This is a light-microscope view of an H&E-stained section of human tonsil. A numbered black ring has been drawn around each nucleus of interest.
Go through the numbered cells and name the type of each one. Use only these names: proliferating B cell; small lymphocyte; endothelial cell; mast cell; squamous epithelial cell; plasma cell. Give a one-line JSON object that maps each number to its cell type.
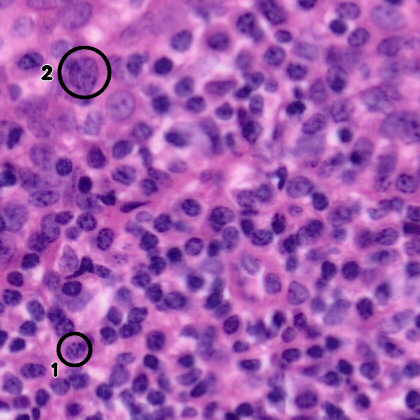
{"1": "plasma cell", "2": "squamous epithelial cell"}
